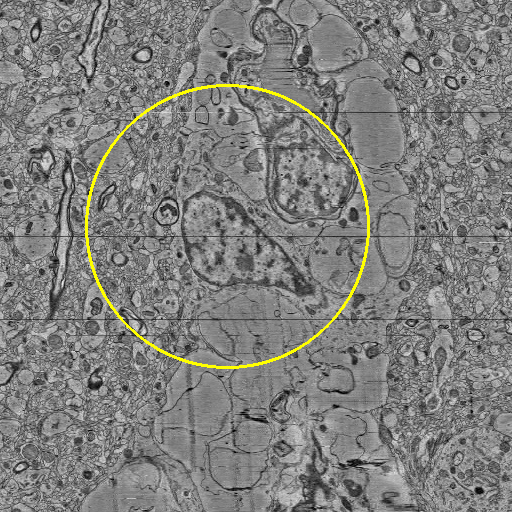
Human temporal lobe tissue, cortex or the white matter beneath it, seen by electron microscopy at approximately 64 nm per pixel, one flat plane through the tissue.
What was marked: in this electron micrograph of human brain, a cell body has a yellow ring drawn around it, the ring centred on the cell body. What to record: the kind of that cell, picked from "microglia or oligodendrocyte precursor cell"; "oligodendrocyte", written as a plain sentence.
The centred cell is a microglial cell or oligodendrocyte precursor cell.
